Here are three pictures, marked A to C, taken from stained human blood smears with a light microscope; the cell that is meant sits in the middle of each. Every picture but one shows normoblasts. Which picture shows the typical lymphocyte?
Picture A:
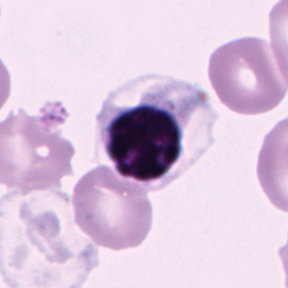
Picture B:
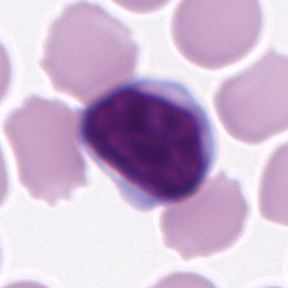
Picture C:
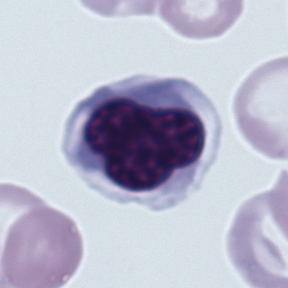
B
